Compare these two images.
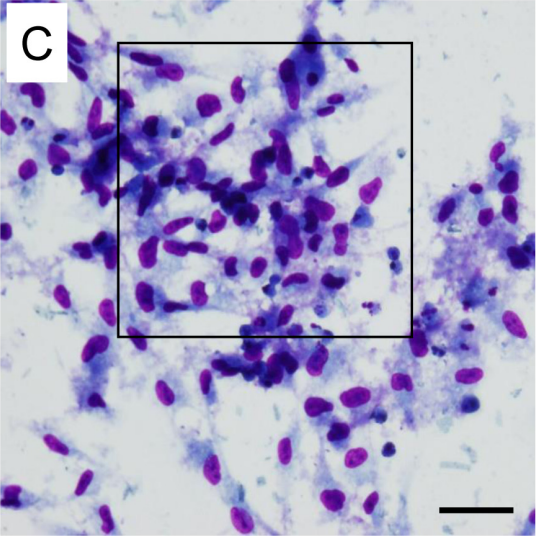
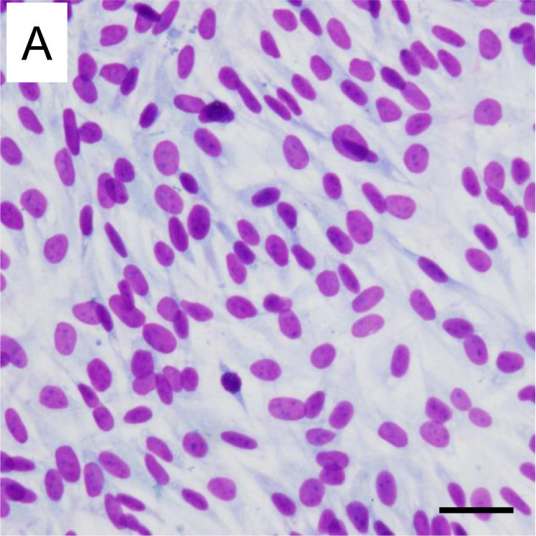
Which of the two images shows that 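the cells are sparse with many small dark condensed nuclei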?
The first image.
